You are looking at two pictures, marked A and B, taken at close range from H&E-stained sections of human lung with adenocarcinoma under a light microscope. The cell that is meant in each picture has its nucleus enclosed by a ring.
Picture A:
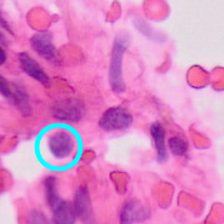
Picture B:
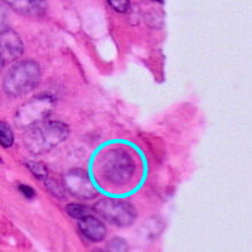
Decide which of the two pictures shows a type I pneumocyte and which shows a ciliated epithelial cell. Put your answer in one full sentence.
Picture A shows a type I pneumocyte and picture B shows a ciliated epithelial cell.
